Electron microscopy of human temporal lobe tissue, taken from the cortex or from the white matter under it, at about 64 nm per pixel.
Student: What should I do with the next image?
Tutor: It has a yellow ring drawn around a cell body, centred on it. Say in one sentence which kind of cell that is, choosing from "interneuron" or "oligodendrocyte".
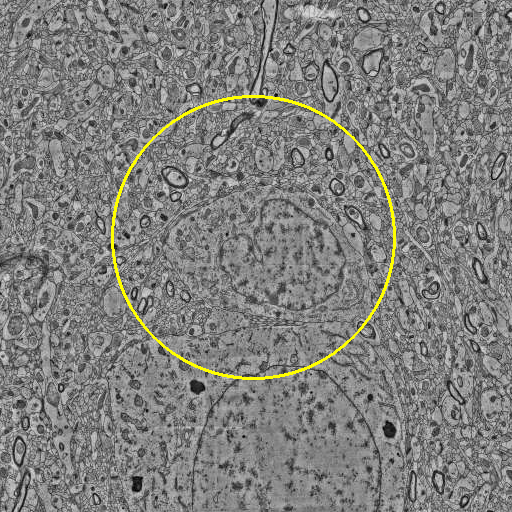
The ring's centre is occupied by an interneuron.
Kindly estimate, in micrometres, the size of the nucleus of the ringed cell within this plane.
In this plane, approximately 8 by 7 micrometers.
